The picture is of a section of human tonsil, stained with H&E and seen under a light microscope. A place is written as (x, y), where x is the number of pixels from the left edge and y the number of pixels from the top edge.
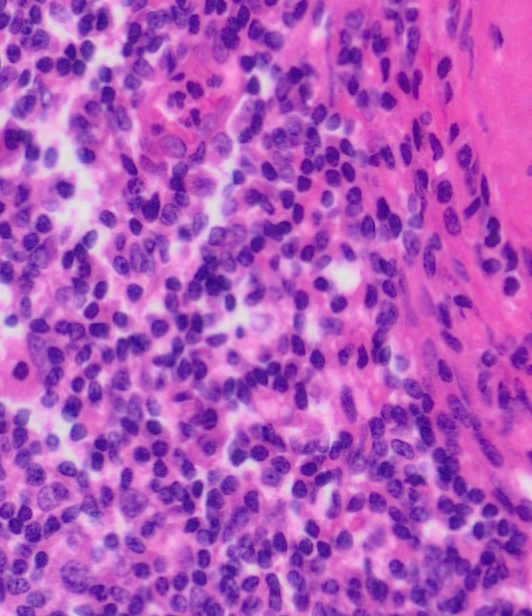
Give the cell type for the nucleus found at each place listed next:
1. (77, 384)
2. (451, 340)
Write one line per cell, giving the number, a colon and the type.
1: small lymphocyte
2: endothelial cell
